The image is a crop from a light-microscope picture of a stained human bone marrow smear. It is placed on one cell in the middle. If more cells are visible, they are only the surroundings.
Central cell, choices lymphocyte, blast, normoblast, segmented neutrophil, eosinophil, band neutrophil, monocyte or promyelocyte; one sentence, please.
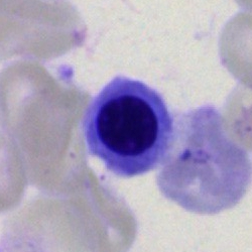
In this smear crop, the middle cell is a normoblast.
